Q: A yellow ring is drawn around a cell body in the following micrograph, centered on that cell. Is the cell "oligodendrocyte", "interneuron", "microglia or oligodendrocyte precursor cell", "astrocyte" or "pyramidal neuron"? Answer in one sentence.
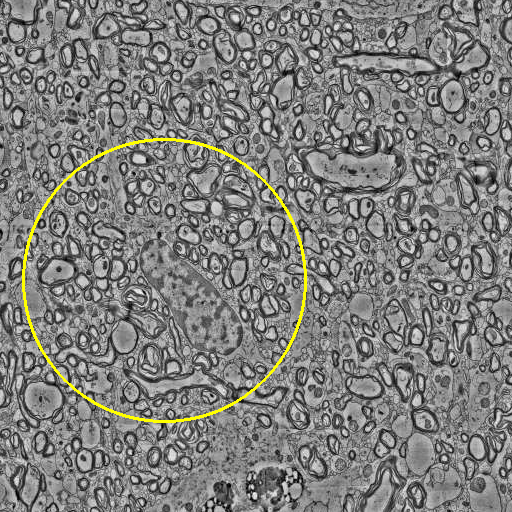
The cell in the center of the ring is a microglial cell or oligodendrocyte precursor cell.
